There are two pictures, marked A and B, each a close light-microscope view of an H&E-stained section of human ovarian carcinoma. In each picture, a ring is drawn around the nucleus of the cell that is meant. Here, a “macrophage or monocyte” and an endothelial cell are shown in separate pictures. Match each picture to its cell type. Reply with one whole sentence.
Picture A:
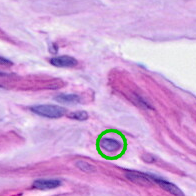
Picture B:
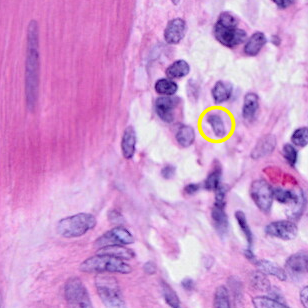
In picture A the cell is an endothelial cell; in picture B, a “macrophage or monocyte”.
